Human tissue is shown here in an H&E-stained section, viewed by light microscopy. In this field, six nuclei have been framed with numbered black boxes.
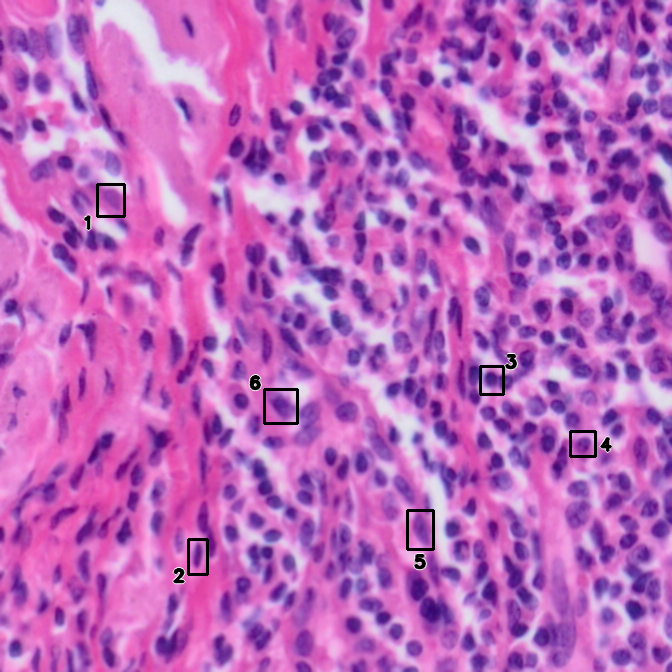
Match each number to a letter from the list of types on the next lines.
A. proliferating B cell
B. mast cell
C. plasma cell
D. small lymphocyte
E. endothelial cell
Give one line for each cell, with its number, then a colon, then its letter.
1: E
2: B
3: D
4: C
5: E
6: E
